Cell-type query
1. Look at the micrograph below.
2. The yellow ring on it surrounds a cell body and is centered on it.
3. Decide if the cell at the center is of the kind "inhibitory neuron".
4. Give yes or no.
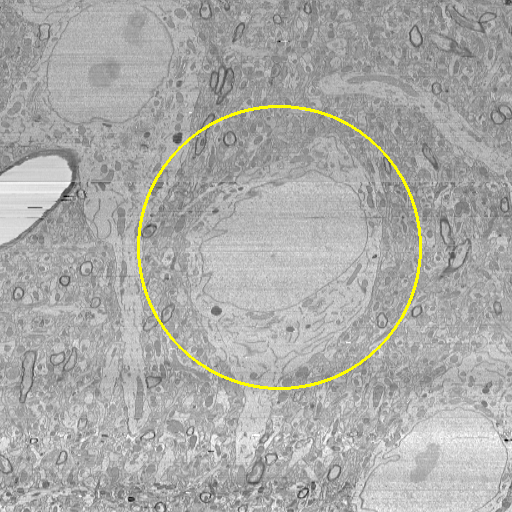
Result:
no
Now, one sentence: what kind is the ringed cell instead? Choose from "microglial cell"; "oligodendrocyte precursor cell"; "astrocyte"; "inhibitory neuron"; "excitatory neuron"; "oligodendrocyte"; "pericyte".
It is an excitatory neuron at the centre of the ring.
